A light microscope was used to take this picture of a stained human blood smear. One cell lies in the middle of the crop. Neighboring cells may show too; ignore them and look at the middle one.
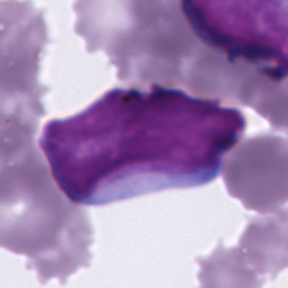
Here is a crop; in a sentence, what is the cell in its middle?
The central cell in this smear crop is a myeloblast.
